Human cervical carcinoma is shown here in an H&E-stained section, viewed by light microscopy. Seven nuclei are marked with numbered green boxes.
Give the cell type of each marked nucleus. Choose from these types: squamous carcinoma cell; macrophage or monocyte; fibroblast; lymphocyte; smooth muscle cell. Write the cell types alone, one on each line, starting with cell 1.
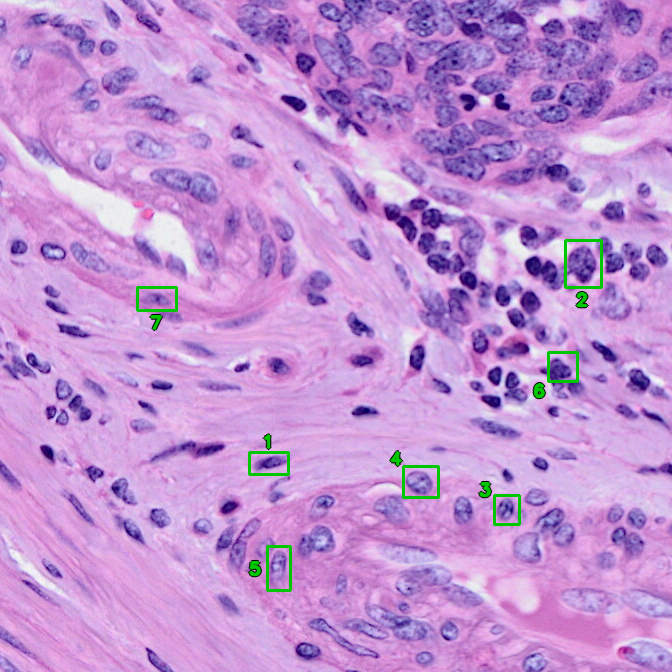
fibroblast
lymphocyte
smooth muscle cell
smooth muscle cell
smooth muscle cell
lymphocyte
smooth muscle cell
